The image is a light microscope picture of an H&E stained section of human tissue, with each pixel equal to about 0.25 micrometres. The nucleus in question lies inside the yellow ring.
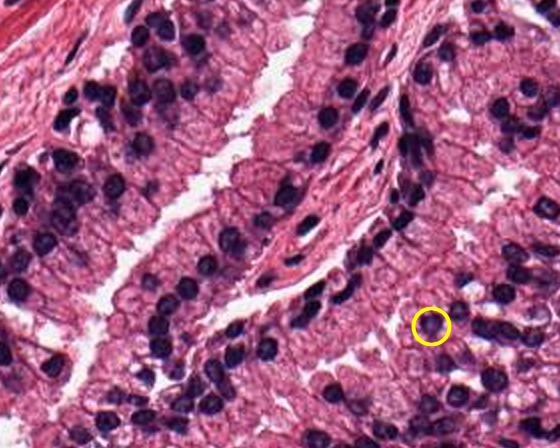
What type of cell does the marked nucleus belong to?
prostate gland luminal cell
